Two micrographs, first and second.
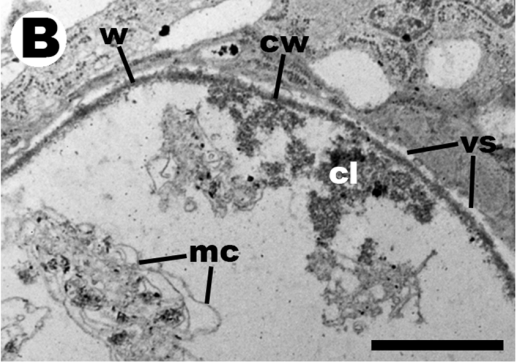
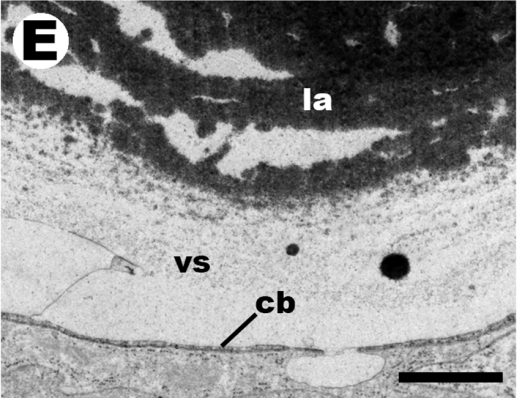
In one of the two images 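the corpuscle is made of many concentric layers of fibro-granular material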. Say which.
the second image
